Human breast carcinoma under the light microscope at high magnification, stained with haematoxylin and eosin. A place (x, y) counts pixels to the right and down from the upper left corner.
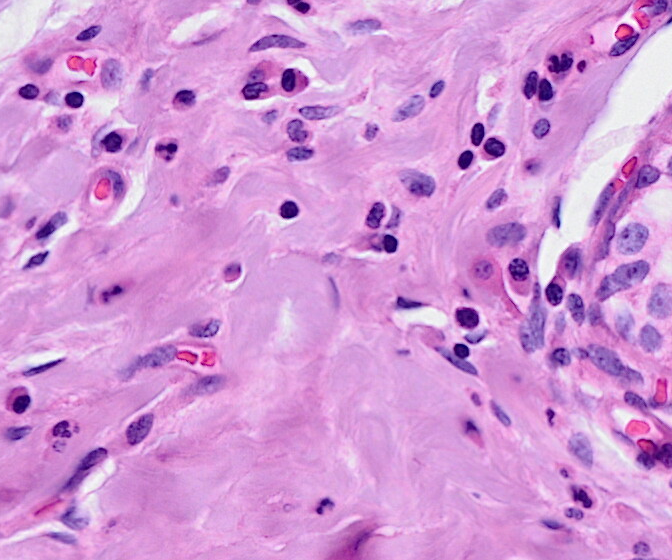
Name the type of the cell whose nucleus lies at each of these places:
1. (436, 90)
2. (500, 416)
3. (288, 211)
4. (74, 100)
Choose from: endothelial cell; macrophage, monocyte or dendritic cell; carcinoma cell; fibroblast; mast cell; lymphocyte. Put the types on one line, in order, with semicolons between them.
lymphocyte; fibroblast; lymphocyte; lymphocyte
